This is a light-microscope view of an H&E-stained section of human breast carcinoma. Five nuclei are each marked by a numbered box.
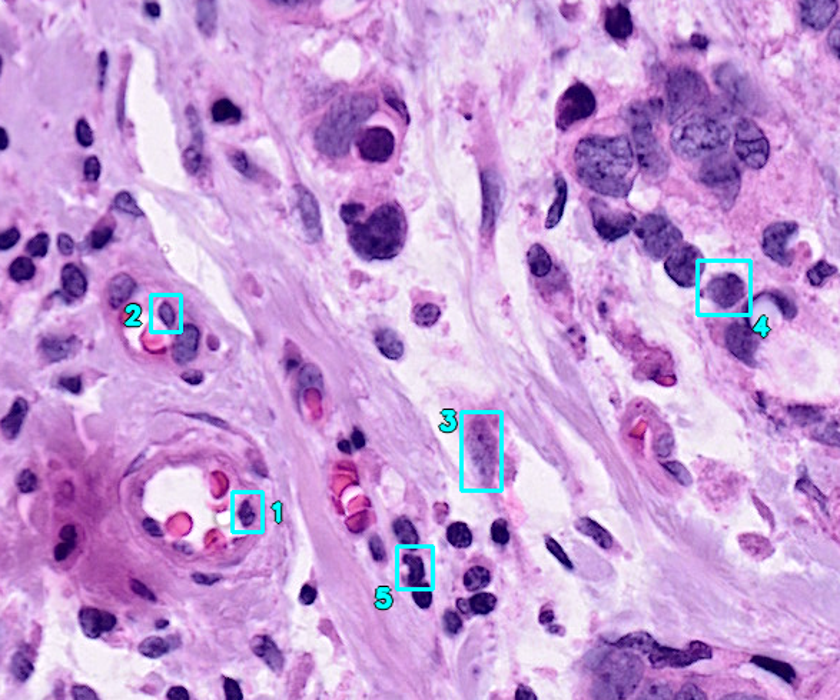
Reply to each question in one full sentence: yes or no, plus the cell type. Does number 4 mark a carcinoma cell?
Yes, correct, the cell with the number 4 is a carcinoma cell.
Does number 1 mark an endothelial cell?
Yes, cell number 1 in this section is an endothelial cell.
